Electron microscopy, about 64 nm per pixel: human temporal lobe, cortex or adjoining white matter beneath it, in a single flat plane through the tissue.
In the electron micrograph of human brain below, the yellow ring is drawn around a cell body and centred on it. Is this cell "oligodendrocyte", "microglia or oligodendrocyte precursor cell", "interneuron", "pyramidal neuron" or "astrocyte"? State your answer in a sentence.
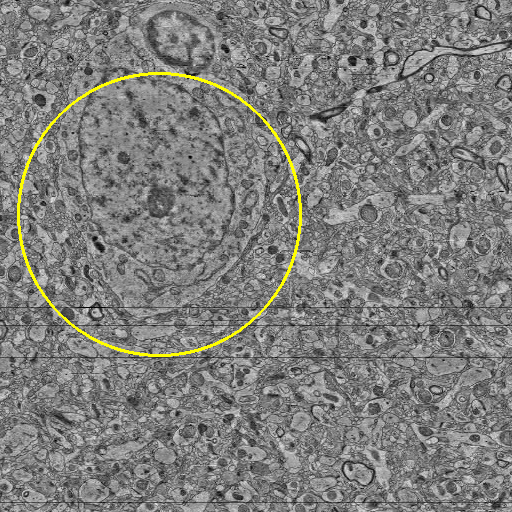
The cell in the middle of the ring is an interneuron.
